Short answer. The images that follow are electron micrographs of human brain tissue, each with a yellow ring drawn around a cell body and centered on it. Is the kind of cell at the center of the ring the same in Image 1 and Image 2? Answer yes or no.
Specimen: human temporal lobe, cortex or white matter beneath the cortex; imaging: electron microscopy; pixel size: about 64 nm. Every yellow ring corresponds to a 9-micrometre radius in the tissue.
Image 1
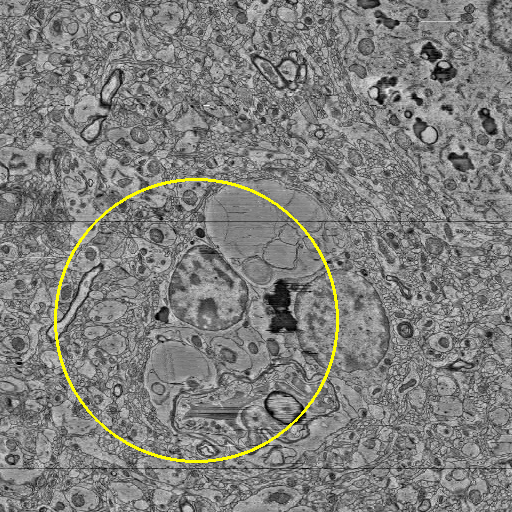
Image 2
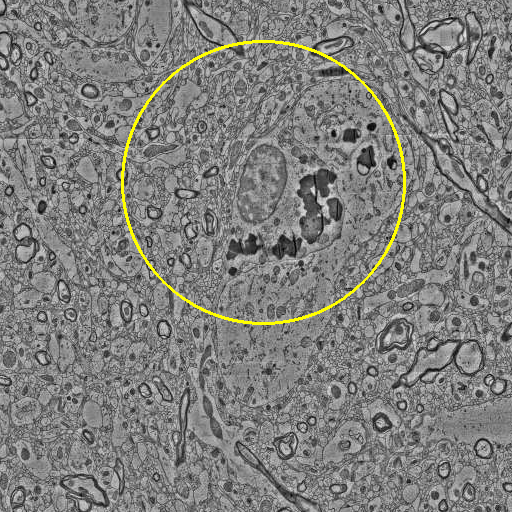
no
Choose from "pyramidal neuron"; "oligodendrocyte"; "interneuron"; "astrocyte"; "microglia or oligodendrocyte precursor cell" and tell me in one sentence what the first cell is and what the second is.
What the first ring is centred on is a microglial cell or oligodendrocyte precursor cell; what the second ring is centred on is an oligodendrocyte.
